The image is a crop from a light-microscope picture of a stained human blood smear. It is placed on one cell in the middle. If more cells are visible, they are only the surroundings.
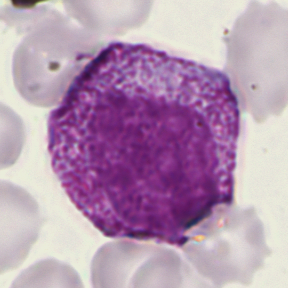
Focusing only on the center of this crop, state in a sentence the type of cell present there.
Occupying the centre of the crop is a promyelocyte.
